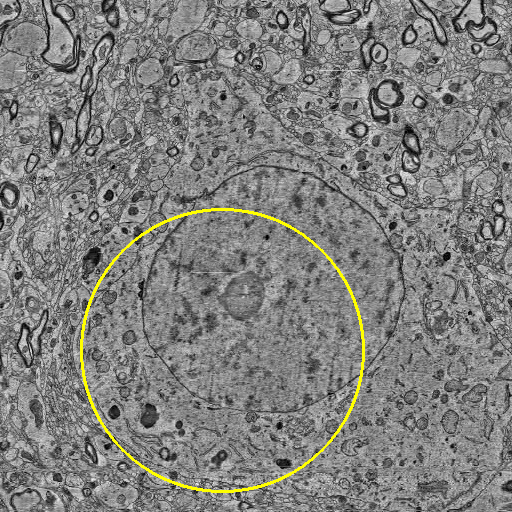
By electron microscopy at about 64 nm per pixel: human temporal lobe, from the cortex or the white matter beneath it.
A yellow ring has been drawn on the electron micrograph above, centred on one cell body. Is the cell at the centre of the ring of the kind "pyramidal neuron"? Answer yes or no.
yes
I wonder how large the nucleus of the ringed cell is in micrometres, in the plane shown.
In this plane, roughly 17 micrometres across.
